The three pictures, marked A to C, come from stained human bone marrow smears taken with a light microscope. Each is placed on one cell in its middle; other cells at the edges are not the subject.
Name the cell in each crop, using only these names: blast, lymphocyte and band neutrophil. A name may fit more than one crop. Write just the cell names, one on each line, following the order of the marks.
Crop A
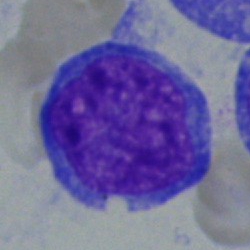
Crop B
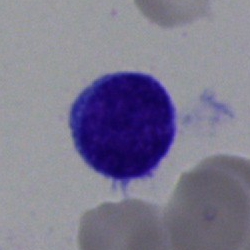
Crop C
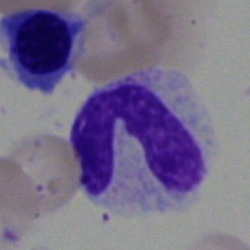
blast
lymphocyte
band neutrophil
